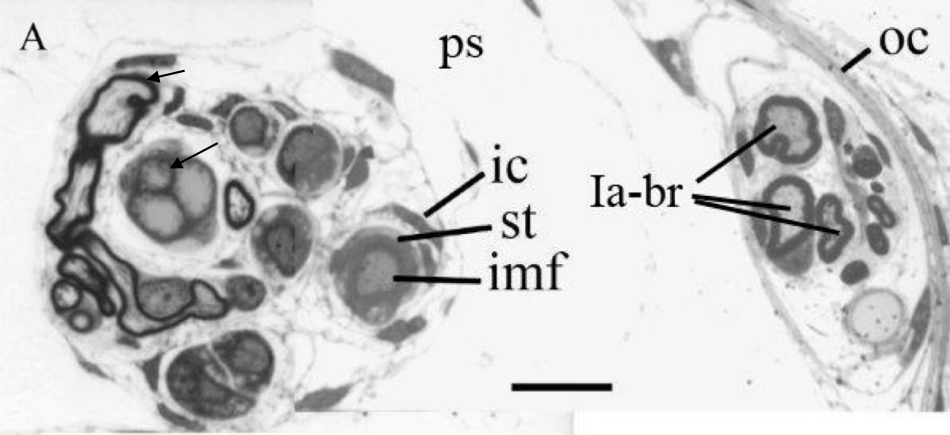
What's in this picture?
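Transverse semithin section through a muscle spindle, with a bundle of intrafusal muscle fibres cut across as rounded grey profiles. The bundle sits within a thin inner capsule, set apart by a wide clear periaxial space from a thin layered outer capsule at the right. One large fibre shows a central cluster of several pale nuclei, and dark-staining sensory terminals wrap the fibres as rims. Darkly stained myelinated nerve profiles lie as thick rings at the upper left and as branches within the outer capsule at the right.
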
